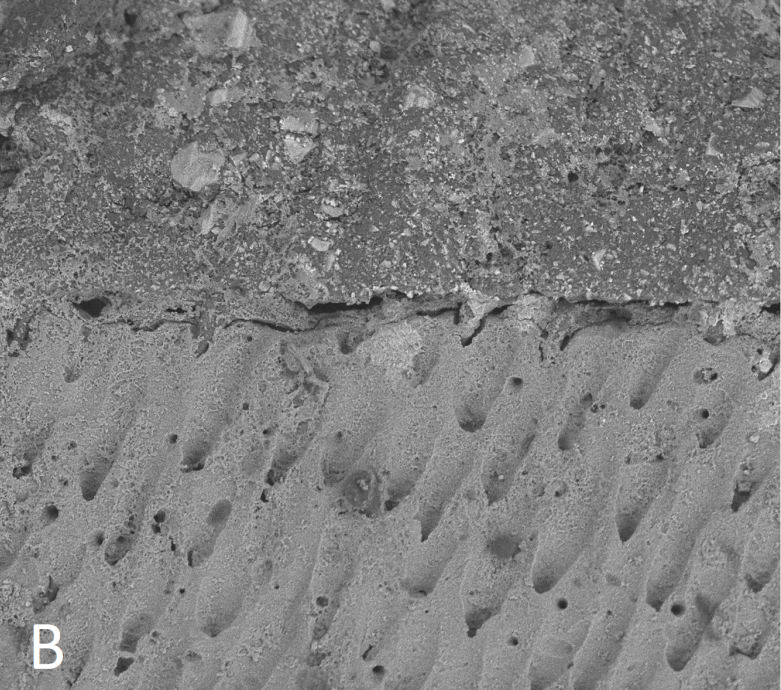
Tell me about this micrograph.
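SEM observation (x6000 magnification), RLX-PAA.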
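This shows dentin in cross-section with dentinal tubules running obliquely as evenly spaced, parallel, elongated channels ending in pit-like openings within a rough granular matrix. An overlying granular material layer sits on top, with a narrow irregular gap along parts of the interface.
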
